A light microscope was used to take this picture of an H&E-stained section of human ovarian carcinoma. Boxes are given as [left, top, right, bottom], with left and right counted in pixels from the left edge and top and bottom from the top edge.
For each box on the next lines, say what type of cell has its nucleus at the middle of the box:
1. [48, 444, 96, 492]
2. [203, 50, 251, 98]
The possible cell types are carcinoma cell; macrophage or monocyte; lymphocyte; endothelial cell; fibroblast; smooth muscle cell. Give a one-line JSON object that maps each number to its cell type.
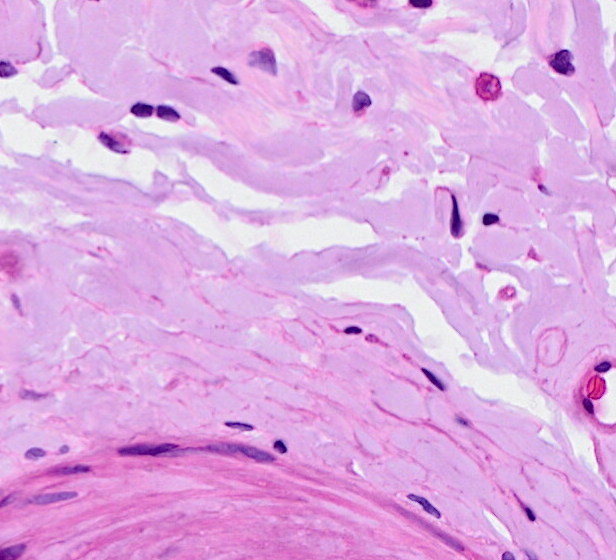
{"1": "smooth muscle cell", "2": "fibroblast"}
